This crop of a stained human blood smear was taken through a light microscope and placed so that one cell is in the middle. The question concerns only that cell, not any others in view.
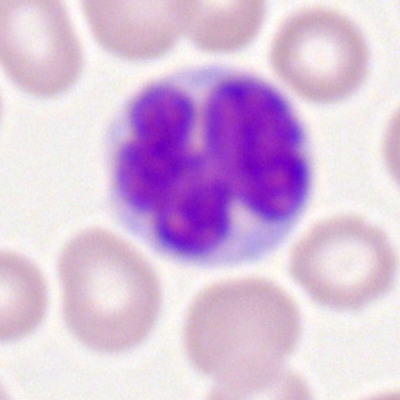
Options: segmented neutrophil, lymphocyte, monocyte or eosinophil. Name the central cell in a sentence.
The central cell, amid any neighbouring cells, is a monocyte.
